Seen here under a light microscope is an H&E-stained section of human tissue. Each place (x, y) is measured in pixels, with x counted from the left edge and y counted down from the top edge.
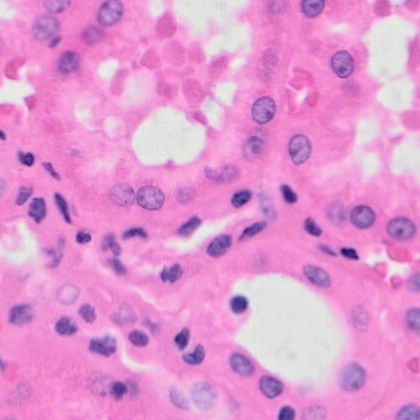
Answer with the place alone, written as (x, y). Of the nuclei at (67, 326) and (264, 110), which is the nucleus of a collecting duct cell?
(67, 326)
